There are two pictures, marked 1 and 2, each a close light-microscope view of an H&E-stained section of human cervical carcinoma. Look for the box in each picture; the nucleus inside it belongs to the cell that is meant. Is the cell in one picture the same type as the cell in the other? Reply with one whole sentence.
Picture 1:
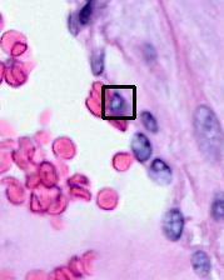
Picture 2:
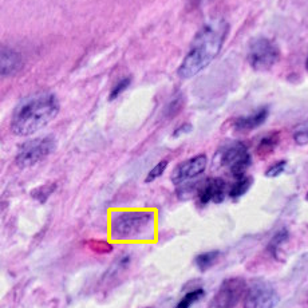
Yes, the two pictures both show endothelial cells.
